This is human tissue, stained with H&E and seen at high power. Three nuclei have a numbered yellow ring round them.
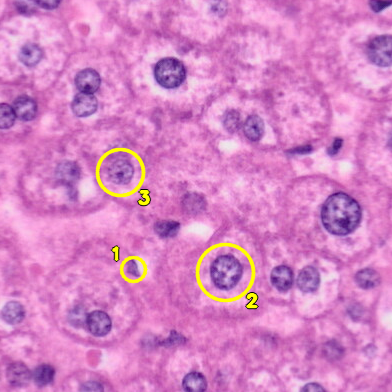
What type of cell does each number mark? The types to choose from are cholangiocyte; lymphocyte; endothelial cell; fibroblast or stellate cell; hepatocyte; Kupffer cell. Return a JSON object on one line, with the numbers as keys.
{"1": "endothelial cell", "2": "hepatocyte", "3": "hepatocyte"}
